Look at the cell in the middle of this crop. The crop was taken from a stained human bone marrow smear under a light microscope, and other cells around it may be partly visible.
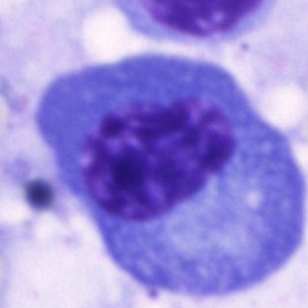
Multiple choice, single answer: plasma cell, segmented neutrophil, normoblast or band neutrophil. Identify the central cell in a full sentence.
The cell the crop is centered on is a plasma cell.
